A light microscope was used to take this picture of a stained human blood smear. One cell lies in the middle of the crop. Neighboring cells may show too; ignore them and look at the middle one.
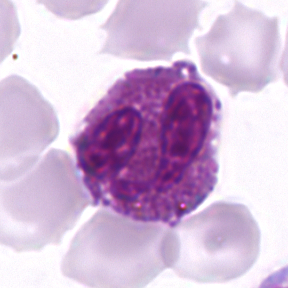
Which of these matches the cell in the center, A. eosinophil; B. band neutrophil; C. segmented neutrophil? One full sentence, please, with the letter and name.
The middle of the crop contains an eosinophil, so option A is right.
